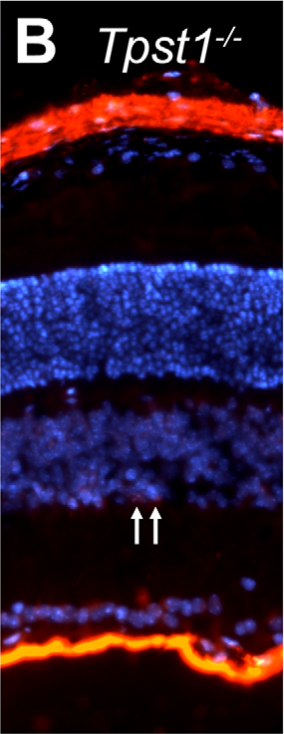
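This is a cross section of retina in layers, with blue nuclei and red-orange labeling. A bright red-orange band runs along the outer edge above a dark band where the photoreceptor segments lie, and beneath that is a thick band of densely packed small round nuclei, the outer nuclear layer. A thin dark outer plexiform layer separates it from a looser band of nuclei, the inner nuclear layer, below which lies a wide dark inner plexiform layer. At the bottom a thin row of nuclei forms the ganglion cell layer, bordered by a bright orange line at the inner surface. Within the layers themselves there is little red labeling, apart from faint red at the inner edge of the inner nuclear layer.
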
